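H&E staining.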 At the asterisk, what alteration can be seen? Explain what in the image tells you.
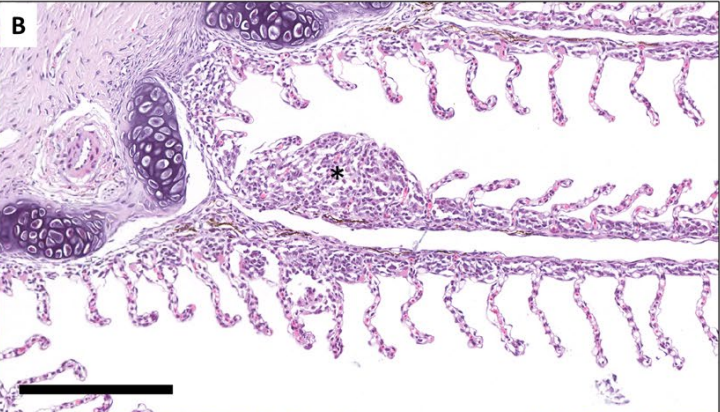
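A solid, cell-rich mass sits on the filament where the asterisk is. Within this mass the separate lamellae can no longer be made out. Lamellae elsewhere on the same filament remain thin and separate.
Answer: hyperplasia and fusion of lamellar epithelium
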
